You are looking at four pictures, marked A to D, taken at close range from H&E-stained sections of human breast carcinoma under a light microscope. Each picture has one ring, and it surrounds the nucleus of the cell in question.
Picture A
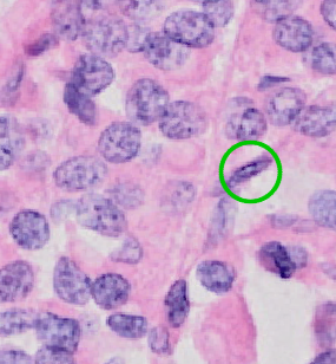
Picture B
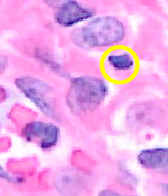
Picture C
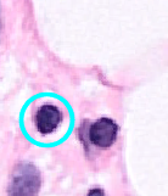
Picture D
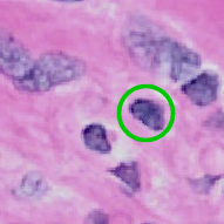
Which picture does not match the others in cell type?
A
